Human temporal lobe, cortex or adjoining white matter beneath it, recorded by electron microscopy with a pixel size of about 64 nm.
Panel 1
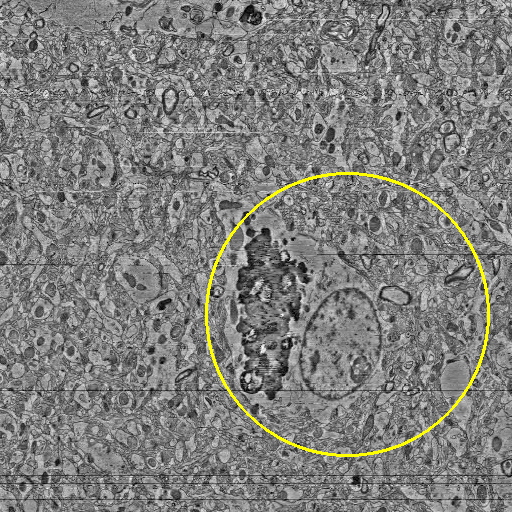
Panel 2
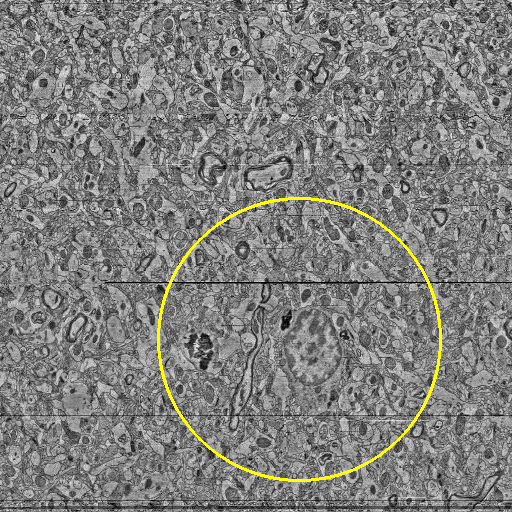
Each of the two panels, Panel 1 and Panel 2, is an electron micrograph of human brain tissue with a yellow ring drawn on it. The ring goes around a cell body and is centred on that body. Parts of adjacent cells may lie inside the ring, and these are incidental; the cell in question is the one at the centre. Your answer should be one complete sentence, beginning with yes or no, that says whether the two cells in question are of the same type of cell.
No, the two cells are of two types.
